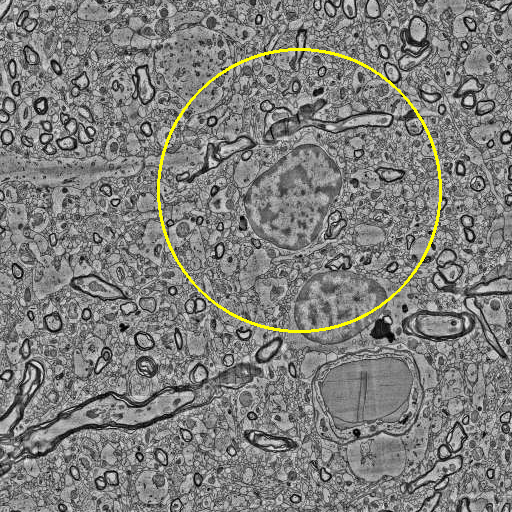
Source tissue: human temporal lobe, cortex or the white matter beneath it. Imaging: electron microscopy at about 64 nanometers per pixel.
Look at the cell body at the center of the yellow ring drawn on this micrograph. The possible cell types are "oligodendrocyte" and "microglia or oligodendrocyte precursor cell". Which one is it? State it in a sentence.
The cell in the middle of the ring is a microglial cell or oligodendrocyte precursor cell.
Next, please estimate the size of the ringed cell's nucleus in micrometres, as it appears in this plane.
Approximately 7 by 6 micrometers in this plane.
